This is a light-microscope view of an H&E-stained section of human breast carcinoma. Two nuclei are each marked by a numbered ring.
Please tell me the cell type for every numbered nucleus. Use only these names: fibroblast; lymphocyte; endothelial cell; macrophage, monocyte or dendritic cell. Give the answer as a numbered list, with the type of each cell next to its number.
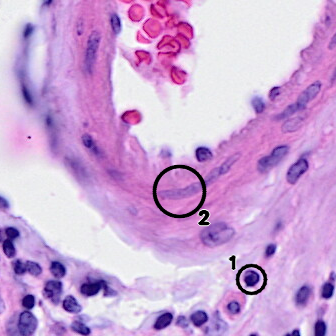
1. lymphocyte
2. endothelial cell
